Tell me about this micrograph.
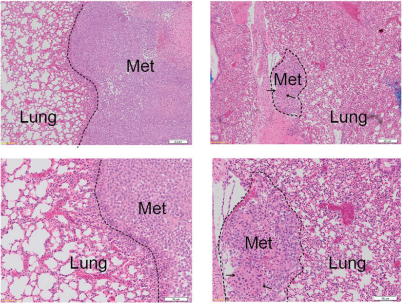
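The normal lung shows as a lacy network of thin pink alveolar walls around many empty, rounded air spaces. Set against it, the tumour forms a solid sheet of crowded cells with dark purple nuclei and little cytoplasm, with almost no air spaces inside it. In some images the nodule is large and fills much of the field, in others it is a small island bordered by lung. The boundary between the solid tumour and the airy lung is sharp and easy to follow by eye.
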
